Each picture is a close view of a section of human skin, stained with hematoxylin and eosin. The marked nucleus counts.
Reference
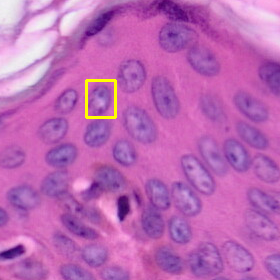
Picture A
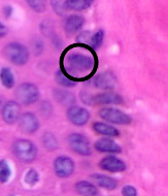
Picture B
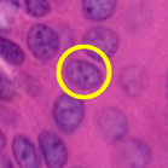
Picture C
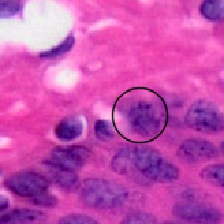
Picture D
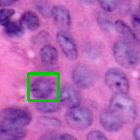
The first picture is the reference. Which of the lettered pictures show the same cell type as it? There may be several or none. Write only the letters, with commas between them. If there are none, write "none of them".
B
